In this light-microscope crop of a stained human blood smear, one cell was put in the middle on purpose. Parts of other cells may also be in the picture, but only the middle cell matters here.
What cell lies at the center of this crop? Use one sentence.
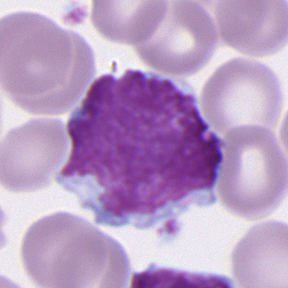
The cell in the exact centre of the crop is a typical lymphocyte.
